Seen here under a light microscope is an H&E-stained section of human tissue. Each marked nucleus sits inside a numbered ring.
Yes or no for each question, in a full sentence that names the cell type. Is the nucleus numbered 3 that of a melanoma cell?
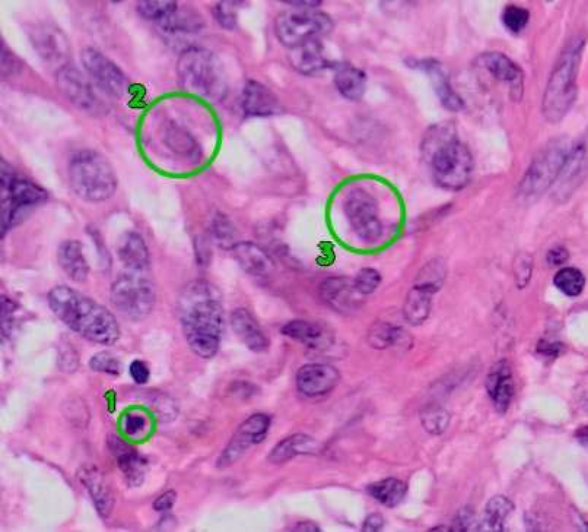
Yes, the cell that goes by number 3 is a melanoma cell.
